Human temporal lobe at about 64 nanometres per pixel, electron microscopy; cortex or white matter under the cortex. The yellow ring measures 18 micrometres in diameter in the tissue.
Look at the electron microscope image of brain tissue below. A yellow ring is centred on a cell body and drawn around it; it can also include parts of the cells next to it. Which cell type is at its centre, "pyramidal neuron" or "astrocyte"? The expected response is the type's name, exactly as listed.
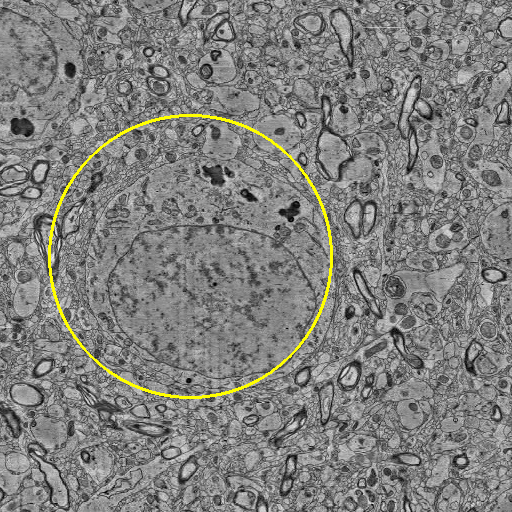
pyramidal neuron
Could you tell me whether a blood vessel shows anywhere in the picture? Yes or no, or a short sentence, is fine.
No, there is no blood vessel in the image.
